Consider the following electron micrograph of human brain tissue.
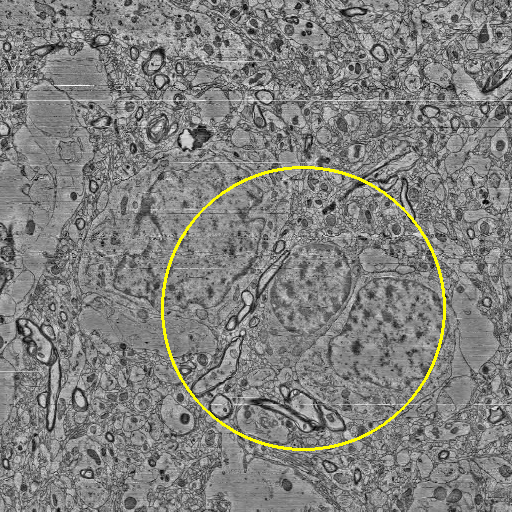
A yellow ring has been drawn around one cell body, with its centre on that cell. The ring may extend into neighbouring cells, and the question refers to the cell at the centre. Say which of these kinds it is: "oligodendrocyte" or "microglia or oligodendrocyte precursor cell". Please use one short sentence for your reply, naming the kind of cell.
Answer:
The centre of the ring falls on an oligodendrocyte.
